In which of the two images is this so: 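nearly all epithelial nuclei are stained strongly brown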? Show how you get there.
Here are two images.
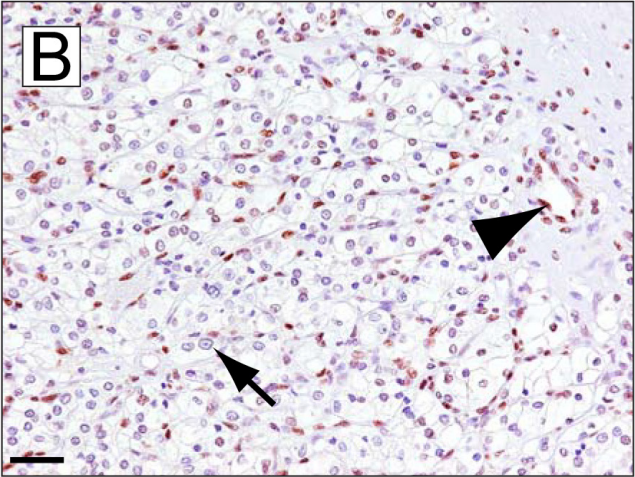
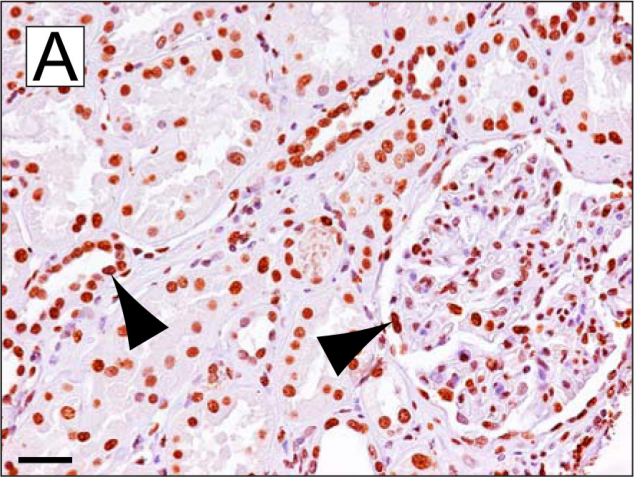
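First image: most round nuclei of the clear cells are blue, with brown mainly in slender nuclei between them.
The second image.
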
